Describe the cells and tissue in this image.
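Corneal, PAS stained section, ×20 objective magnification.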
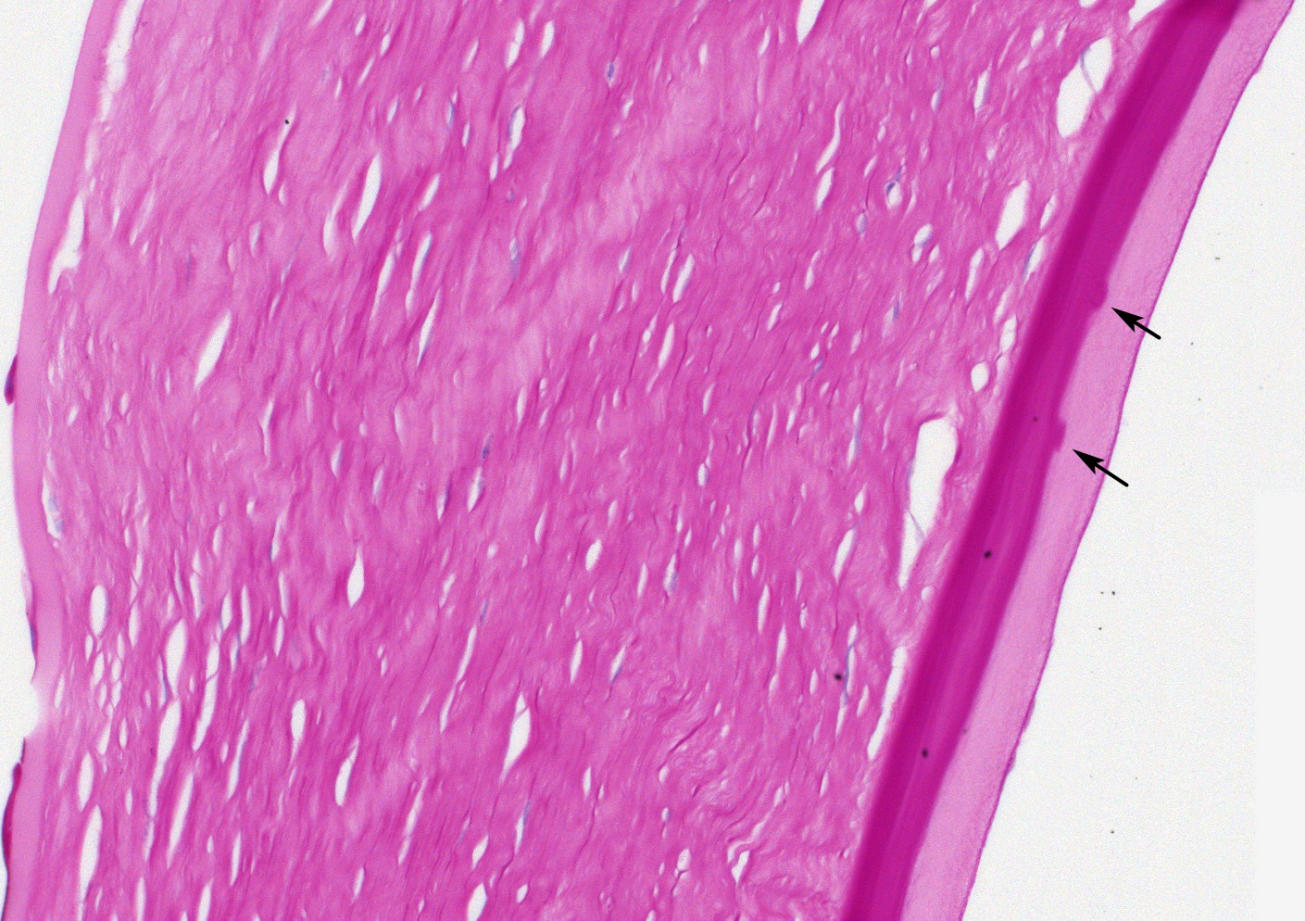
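Along the right edge runs a markedly thickened Descemet membrane, seen as a deep magenta laminated band. A few shallow, widely spaced bumps, the guttae, rise from the posterior face of this band. Behind them lies a further thick, paler pink layer with a smoother, more homogeneous texture that covers the guttae.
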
